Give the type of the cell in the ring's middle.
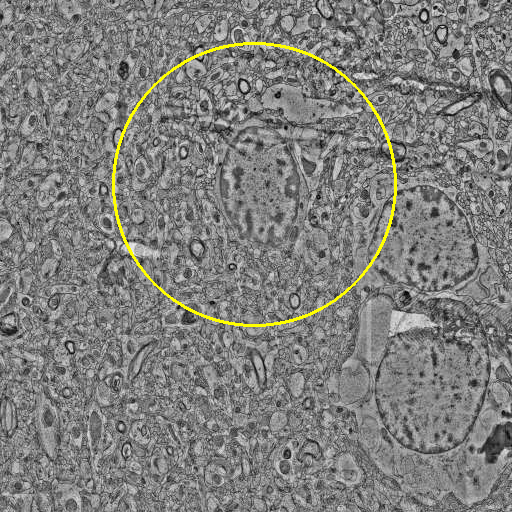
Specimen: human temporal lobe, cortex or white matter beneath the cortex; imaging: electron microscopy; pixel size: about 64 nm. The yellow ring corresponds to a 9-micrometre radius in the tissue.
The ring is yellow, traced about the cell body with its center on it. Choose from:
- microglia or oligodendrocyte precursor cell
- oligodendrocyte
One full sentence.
Here, an oligodendrocyte is the cell lying at the center of the yellow ring.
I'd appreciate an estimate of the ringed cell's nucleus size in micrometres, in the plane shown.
In this plane, approximately 8 by 5 micrometers.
